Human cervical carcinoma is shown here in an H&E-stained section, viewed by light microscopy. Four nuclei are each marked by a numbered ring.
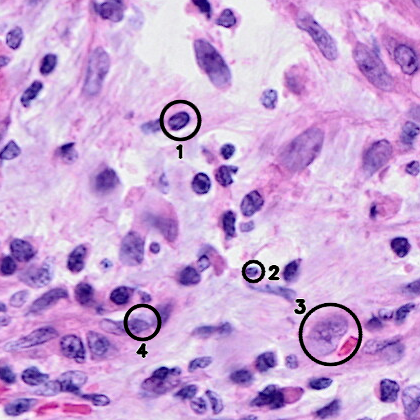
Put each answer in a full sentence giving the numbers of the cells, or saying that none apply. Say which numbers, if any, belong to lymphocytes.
The cells the numbers 1 and 2 point to are lymphocytes.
